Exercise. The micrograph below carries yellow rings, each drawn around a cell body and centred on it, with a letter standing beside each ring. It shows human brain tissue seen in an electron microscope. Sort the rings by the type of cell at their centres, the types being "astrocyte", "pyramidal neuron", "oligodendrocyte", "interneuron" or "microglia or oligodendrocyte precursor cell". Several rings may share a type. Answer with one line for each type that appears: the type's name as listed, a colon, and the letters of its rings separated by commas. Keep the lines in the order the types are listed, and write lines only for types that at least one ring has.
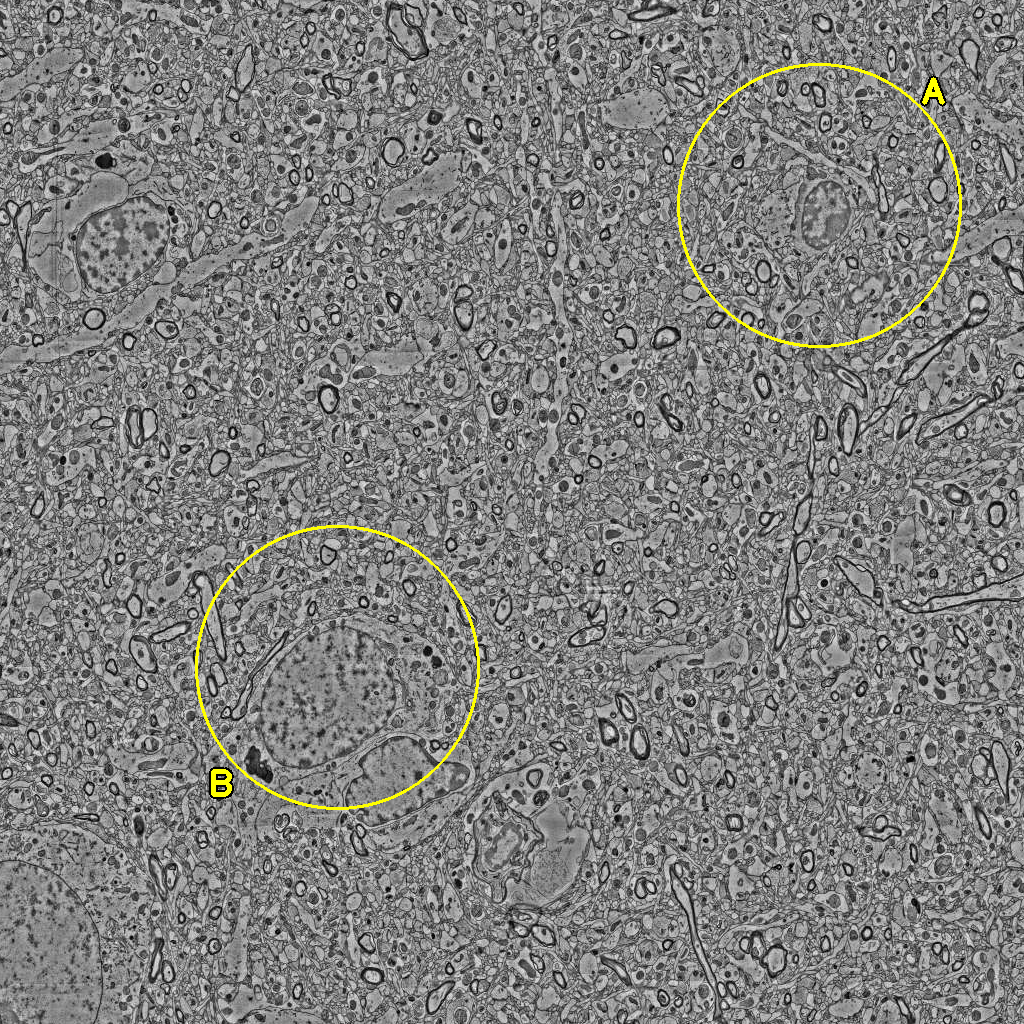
oligodendrocyte: A
interneuron: B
